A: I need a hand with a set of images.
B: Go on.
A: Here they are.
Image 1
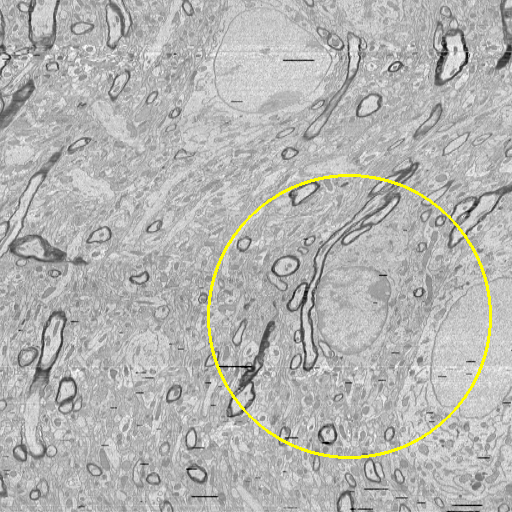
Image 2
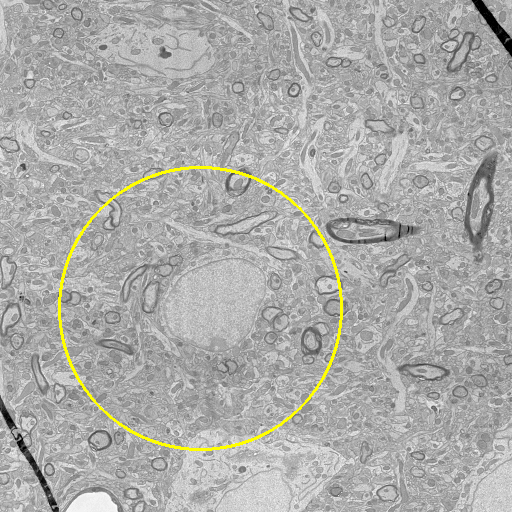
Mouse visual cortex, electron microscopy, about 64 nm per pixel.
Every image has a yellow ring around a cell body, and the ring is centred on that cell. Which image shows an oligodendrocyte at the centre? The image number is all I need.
1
